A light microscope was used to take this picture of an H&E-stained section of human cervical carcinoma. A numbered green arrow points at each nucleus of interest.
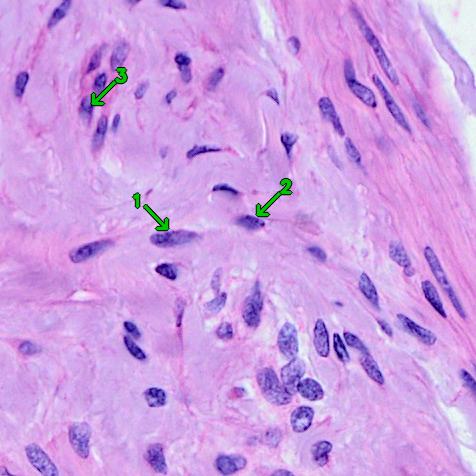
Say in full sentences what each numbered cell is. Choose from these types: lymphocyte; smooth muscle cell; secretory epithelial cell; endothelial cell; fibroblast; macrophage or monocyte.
Cell 1 is a fibroblast, cell 2 is a fibroblast and cell 3 is a smooth muscle cell.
